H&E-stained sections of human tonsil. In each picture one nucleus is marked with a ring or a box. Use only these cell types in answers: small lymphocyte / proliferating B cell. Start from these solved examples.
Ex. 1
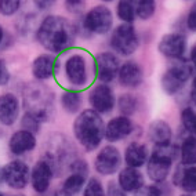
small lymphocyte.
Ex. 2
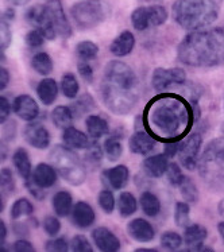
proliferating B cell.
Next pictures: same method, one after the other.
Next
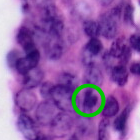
proliferating B cell.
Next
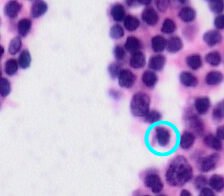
small lymphocyte.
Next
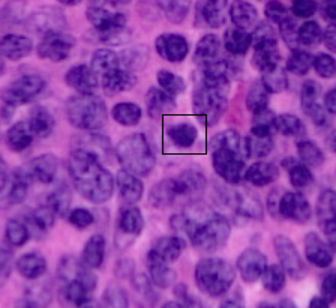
proliferating B cell.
